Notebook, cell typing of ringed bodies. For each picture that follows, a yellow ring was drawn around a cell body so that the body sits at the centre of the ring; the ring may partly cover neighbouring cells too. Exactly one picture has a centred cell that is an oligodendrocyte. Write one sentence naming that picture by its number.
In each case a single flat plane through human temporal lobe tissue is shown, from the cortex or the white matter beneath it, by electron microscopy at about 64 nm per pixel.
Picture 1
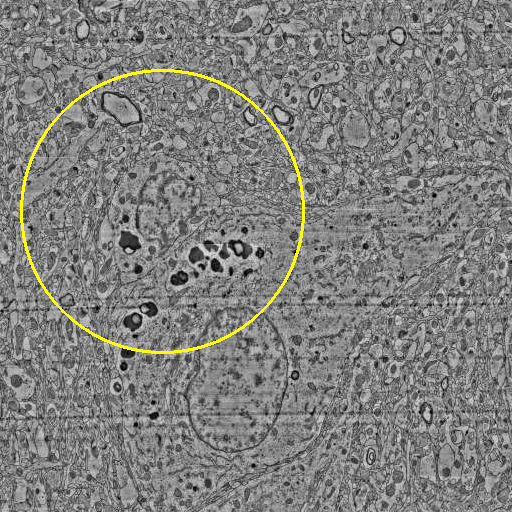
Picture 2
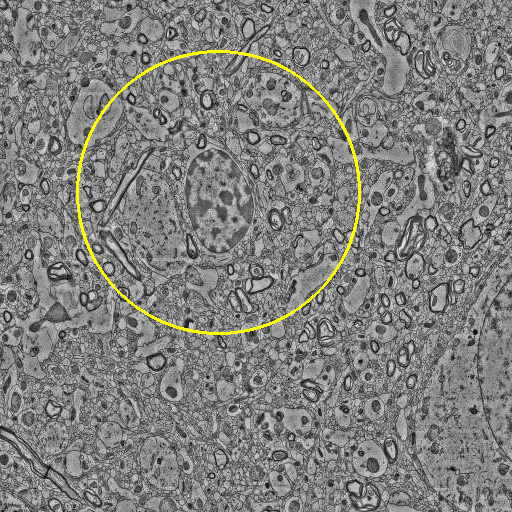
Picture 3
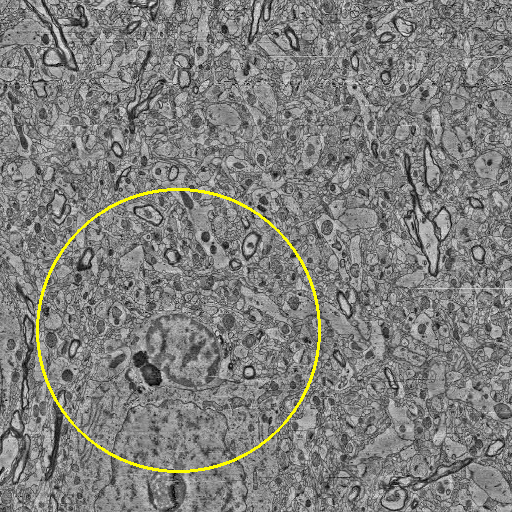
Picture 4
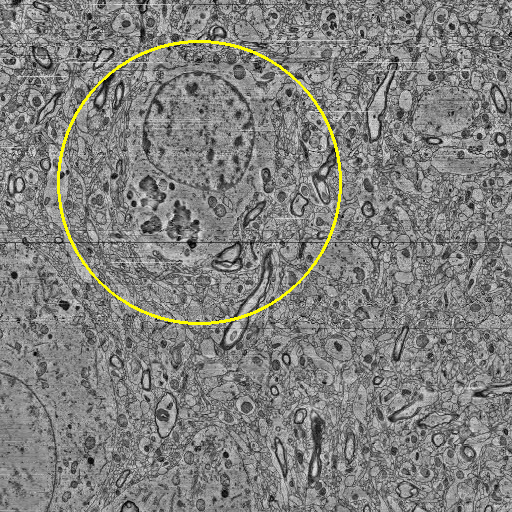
Picture 3 is the one with it at the centre of its ring.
